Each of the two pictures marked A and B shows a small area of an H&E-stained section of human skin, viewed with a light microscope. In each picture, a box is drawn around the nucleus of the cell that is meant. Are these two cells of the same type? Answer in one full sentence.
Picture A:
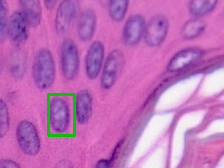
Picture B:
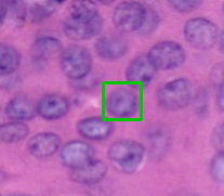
Yes, both cells are suprabasal keratinocytes.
